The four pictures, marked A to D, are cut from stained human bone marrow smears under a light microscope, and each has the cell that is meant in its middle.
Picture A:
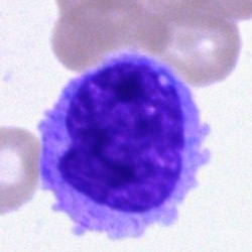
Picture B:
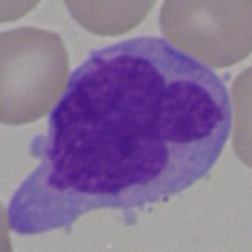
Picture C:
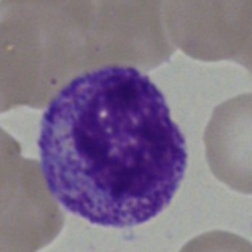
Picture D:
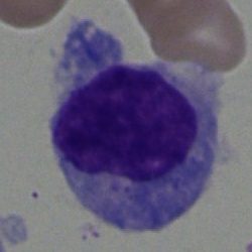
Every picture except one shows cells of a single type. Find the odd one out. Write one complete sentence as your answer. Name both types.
The others show monocytes, but picture C shows a promyelocyte.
